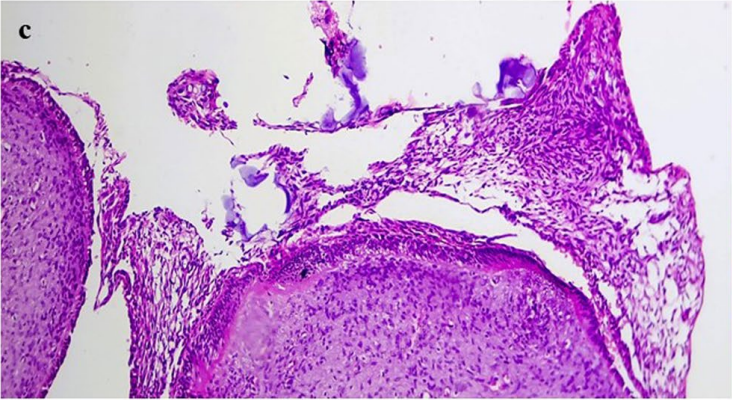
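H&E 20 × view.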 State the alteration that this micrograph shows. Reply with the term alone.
A layer of eosinophilic material deposited at the epithelial-mesenchymal interface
